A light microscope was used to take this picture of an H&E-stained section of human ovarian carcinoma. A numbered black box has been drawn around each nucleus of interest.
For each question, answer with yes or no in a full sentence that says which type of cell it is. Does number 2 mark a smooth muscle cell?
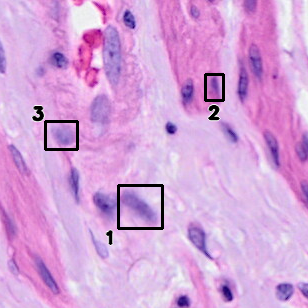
Yes, the cell that bears number 2 is a smooth muscle cell.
